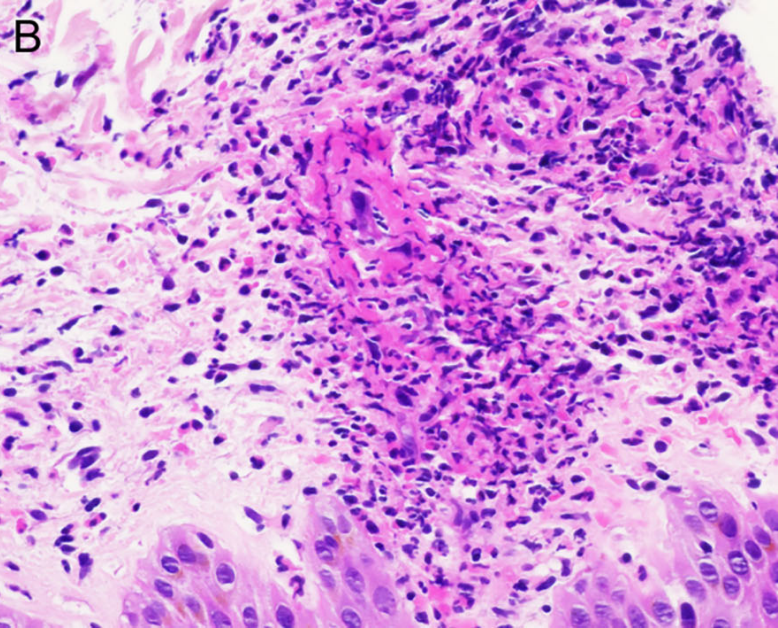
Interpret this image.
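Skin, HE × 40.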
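At higher power, here is the upper dermis, with the base of the epidermis along the bottom edge. In the middle a small blood vessel has a wall of bright, smudgy pink material. It is surrounded and invaded by many inflammatory cells. Their nuclei are dark purple and often irregular or lobed. Between them lie many tiny dark fragments of broken nuclei, a nuclear dust. Around this the connective tissue is pale and loose, with scattered cells and a few extravasated red blood cells.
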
